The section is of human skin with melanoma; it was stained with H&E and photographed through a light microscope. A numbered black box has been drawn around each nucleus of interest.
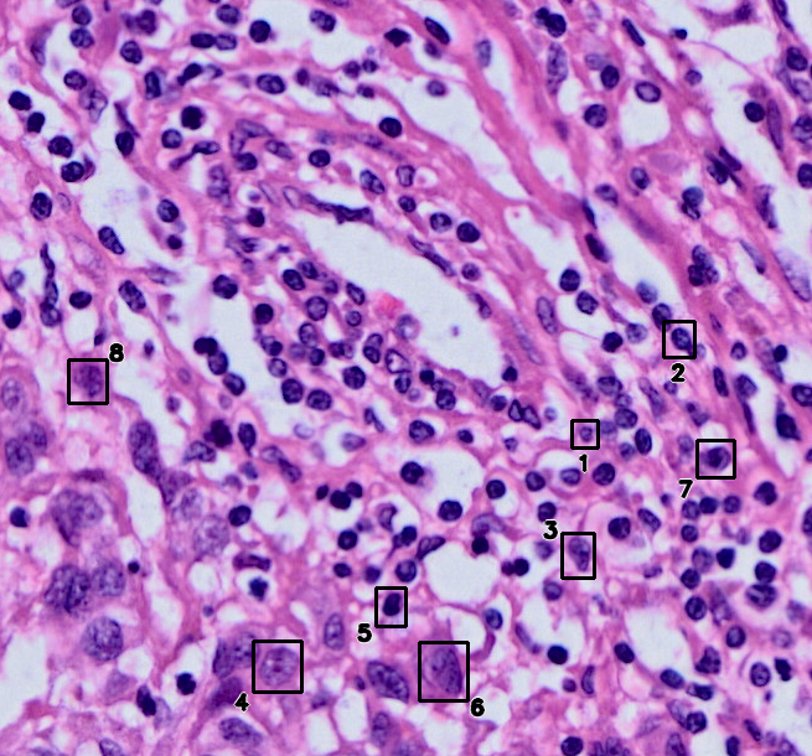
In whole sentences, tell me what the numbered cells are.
Cells 1, 2, 5 and 7 are lymphocytes. Cell 3 is a macrophage or monocyte. Cells 4, 6 and 8 are melanoma cells.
